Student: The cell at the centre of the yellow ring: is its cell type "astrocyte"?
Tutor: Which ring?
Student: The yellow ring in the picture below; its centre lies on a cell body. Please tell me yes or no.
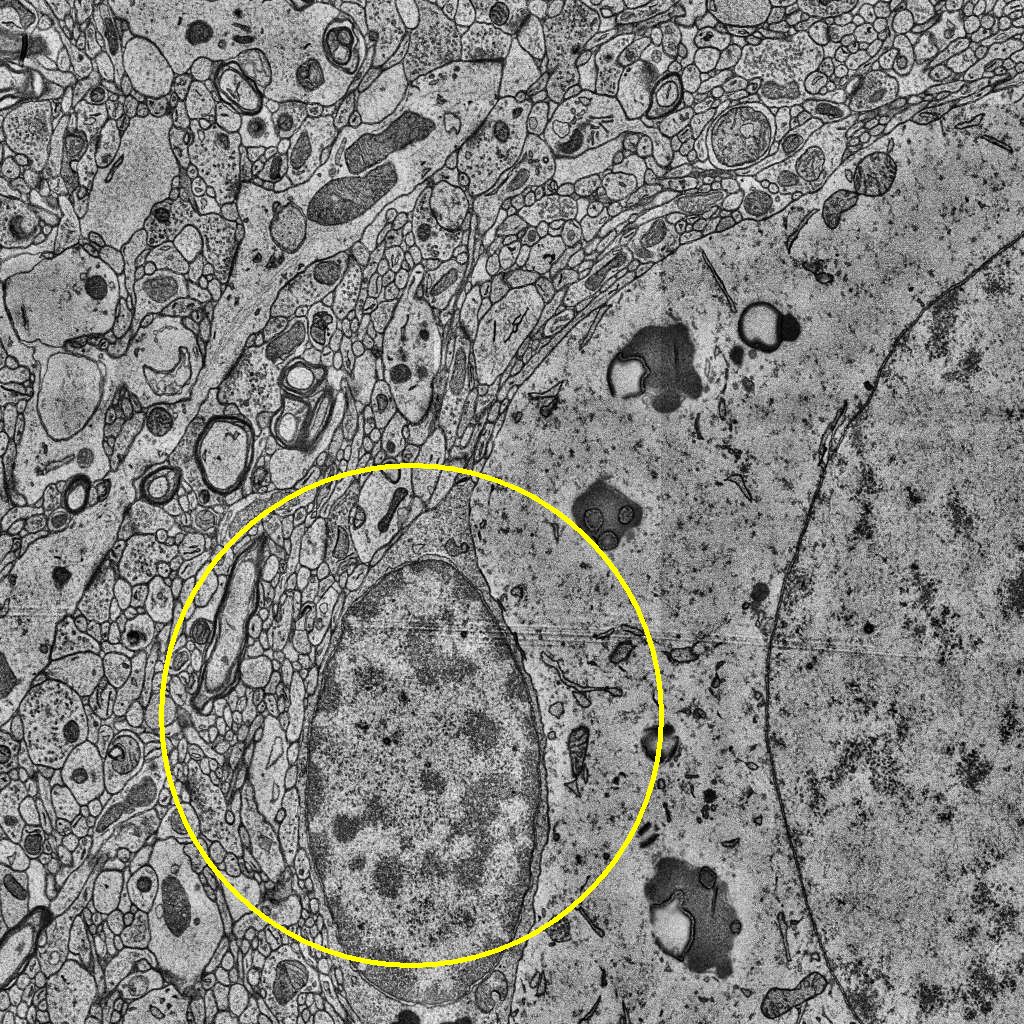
no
